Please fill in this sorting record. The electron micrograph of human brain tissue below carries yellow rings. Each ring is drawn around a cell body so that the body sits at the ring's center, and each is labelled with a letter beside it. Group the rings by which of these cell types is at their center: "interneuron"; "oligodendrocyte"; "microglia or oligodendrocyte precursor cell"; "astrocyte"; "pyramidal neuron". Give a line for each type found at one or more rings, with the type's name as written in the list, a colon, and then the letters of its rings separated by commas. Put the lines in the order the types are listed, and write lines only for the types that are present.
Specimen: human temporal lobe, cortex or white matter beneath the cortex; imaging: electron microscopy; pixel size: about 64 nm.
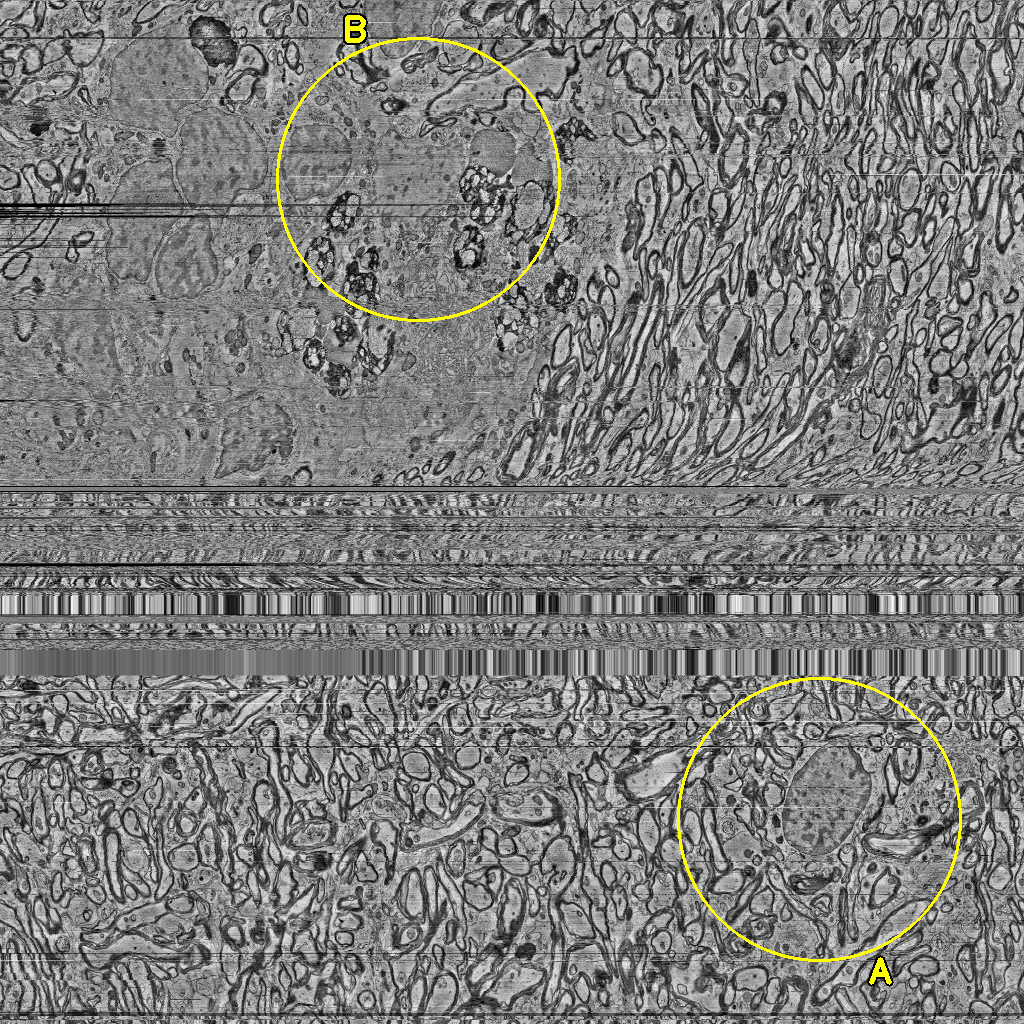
microglia or oligodendrocyte precursor cell: A
astrocyte: B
